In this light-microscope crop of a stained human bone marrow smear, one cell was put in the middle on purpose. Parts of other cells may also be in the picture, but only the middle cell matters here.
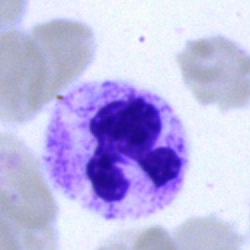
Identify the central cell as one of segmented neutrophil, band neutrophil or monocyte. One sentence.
The cell at the centre of the field is a segmented neutrophil.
